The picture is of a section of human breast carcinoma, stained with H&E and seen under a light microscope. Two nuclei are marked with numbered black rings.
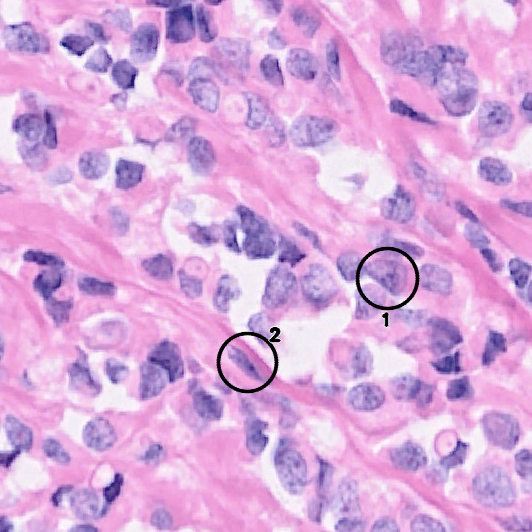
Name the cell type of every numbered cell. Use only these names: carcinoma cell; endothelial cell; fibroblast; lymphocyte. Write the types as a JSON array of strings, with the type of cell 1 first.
["carcinoma cell", "endothelial cell"]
